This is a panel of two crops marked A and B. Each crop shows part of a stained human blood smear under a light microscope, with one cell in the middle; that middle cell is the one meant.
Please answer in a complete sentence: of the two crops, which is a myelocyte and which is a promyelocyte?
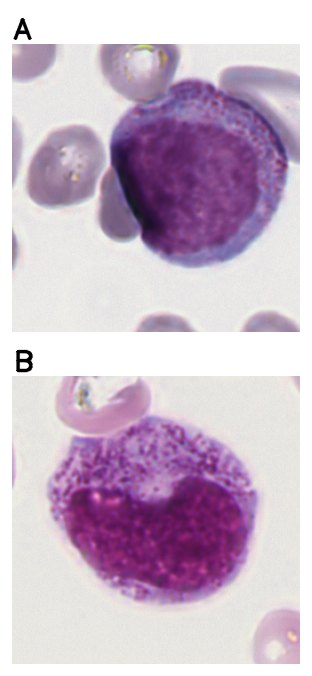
Crop A is to be labelled a promyelocyte, and crop B a myelocyte.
